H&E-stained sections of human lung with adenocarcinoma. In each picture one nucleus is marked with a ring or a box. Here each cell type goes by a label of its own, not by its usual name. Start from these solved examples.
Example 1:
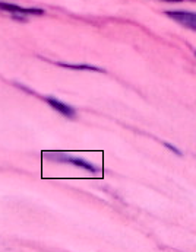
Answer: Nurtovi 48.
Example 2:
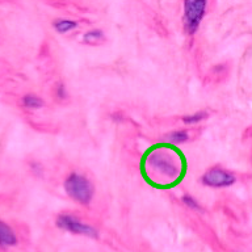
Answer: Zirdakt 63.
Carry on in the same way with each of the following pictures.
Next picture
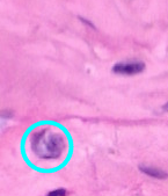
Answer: Nurtovi 48.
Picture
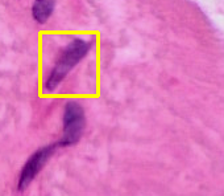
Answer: Zirdakt 63.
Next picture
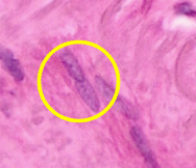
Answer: Zirdakt 63.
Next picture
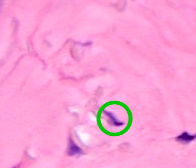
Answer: Nurtovi 48.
